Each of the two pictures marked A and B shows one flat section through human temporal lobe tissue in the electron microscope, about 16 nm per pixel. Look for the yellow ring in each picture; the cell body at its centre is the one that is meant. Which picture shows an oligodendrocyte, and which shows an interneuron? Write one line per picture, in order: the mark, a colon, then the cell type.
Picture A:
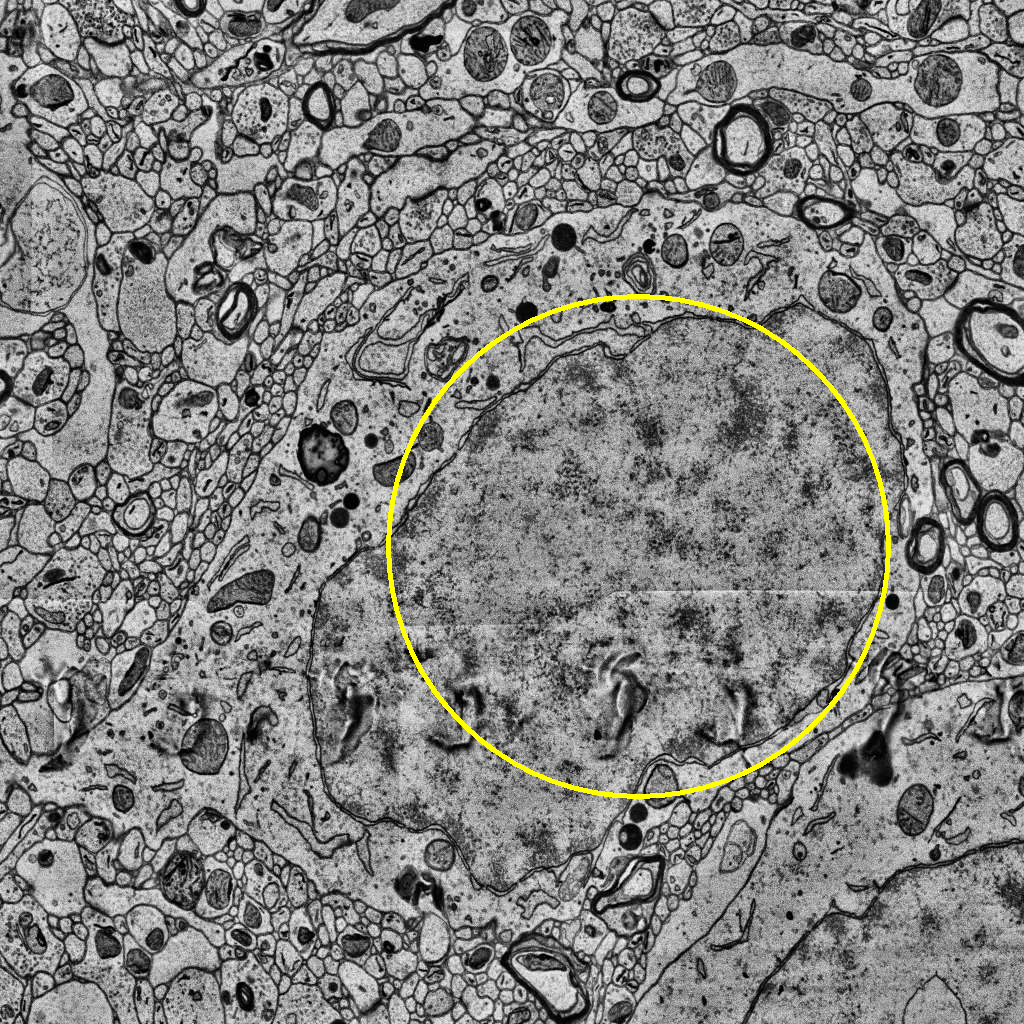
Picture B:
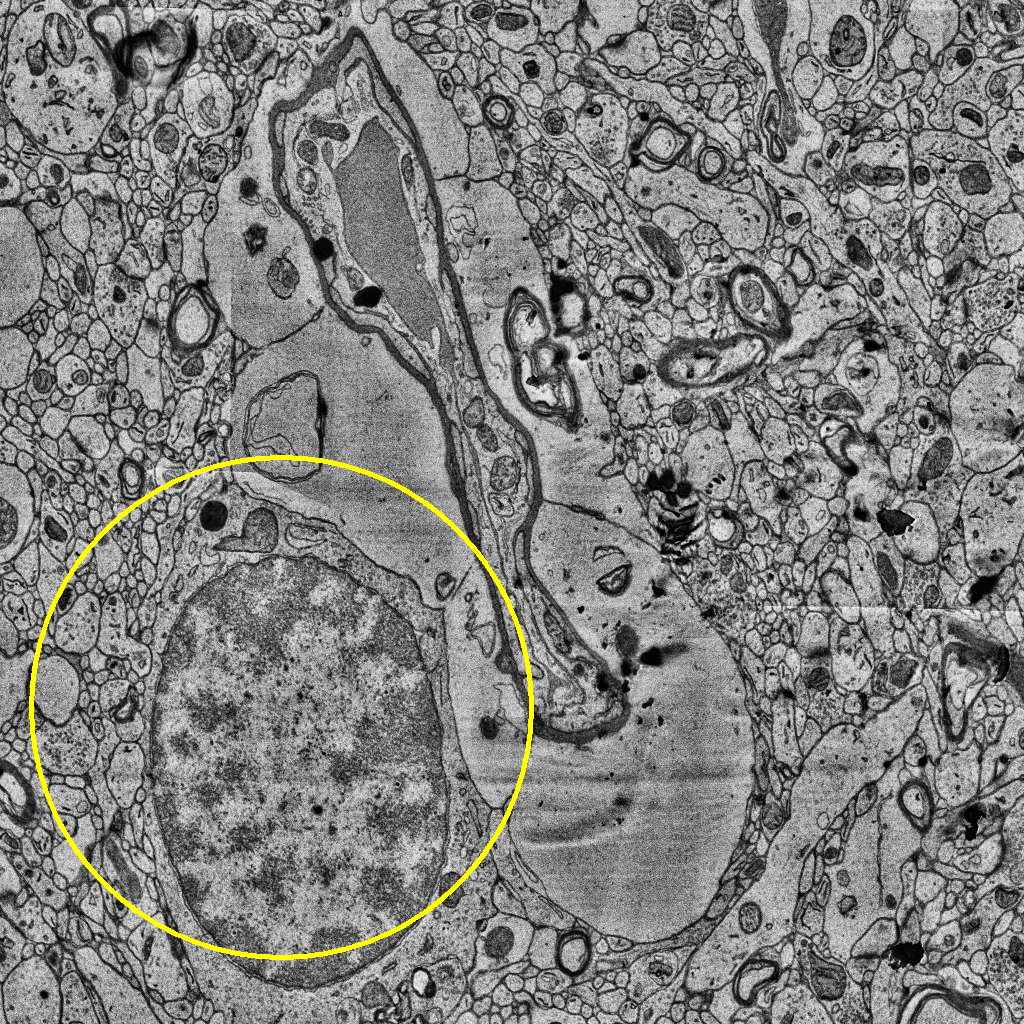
A: interneuron
B: oligodendrocyte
